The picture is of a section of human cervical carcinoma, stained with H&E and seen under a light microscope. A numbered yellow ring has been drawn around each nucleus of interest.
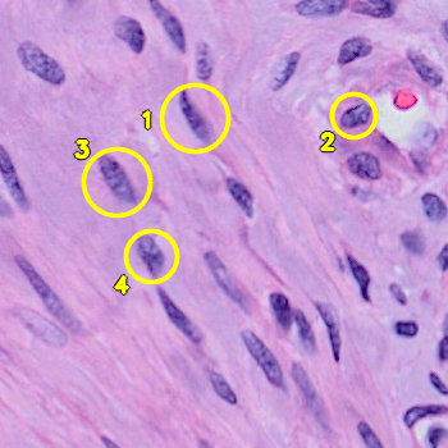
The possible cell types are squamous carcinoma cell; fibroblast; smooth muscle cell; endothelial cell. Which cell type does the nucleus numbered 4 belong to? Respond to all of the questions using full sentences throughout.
Numbered cell 4 is a fibroblast in this tissue section.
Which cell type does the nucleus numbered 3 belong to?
Nucleus 3 in this section belongs to a fibroblast.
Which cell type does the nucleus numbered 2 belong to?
The cell pointed out by number 2 is an endothelial cell.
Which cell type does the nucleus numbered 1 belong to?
Cell number 1 in this section is a fibroblast.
